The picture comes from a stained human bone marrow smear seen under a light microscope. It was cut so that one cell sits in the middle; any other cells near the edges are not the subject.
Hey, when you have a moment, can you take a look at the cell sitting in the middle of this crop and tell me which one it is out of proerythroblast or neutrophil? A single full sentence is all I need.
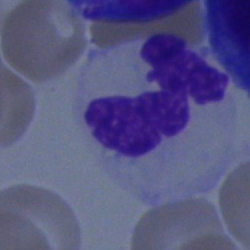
For this crop, the cell in the middle is a neutrophil.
